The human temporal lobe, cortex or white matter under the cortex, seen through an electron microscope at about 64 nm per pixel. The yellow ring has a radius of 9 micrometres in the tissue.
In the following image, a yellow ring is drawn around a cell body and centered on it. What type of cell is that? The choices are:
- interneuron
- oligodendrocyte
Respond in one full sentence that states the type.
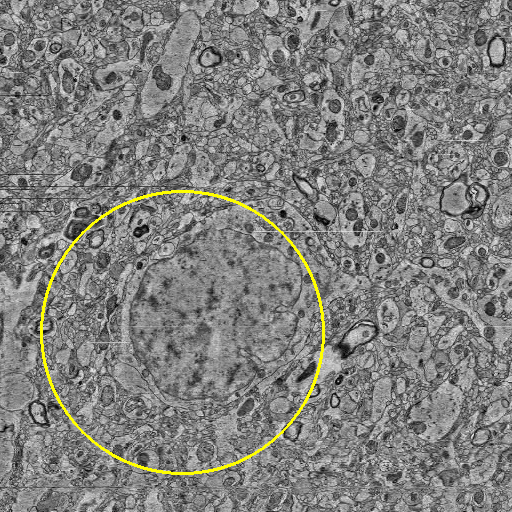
The cell at the center of the yellow ring in the image is an interneuron.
